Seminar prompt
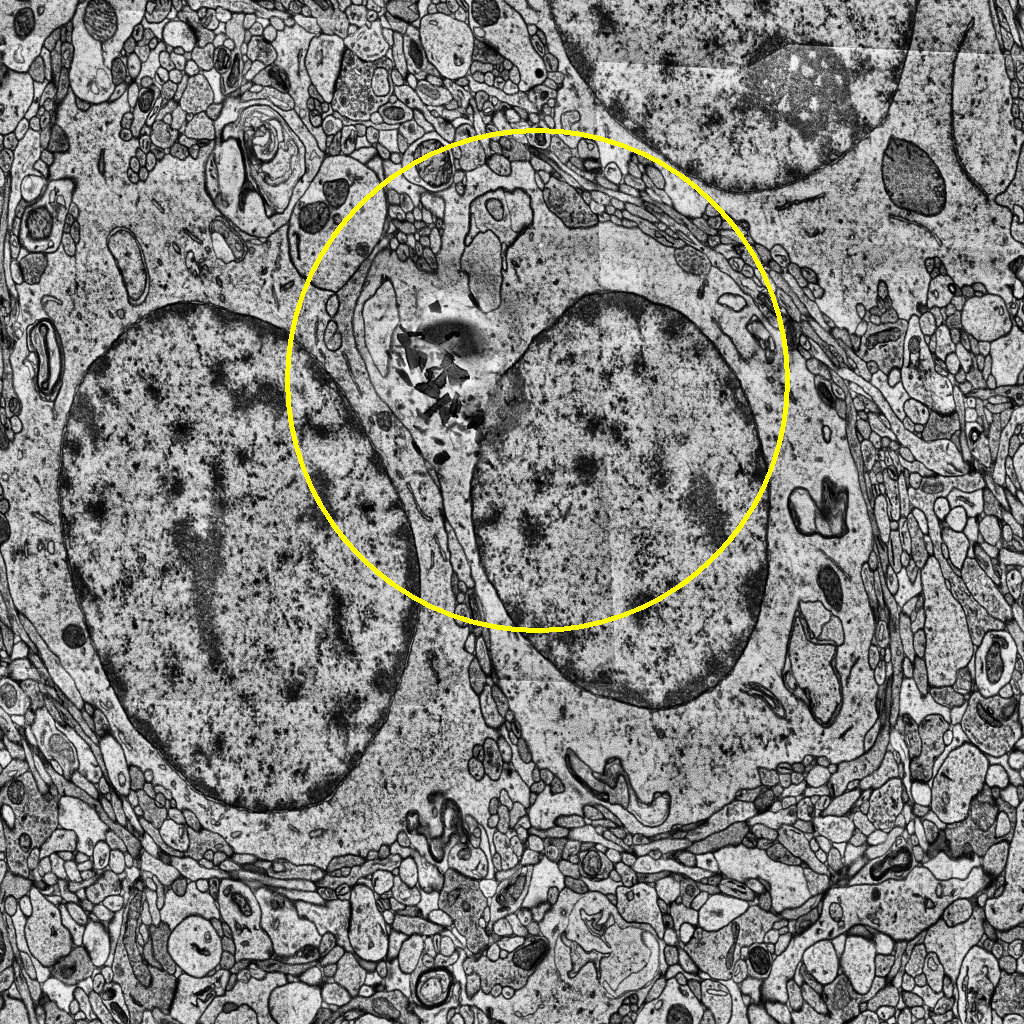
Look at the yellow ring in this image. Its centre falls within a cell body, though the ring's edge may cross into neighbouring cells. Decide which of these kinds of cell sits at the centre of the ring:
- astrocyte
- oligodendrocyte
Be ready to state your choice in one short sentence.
The kind of cell at the ring's centre is an astrocyte.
